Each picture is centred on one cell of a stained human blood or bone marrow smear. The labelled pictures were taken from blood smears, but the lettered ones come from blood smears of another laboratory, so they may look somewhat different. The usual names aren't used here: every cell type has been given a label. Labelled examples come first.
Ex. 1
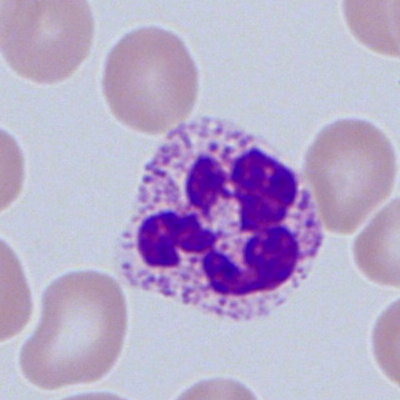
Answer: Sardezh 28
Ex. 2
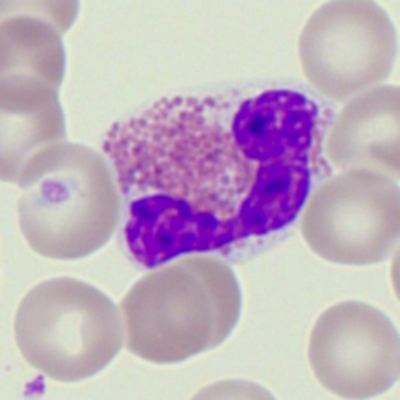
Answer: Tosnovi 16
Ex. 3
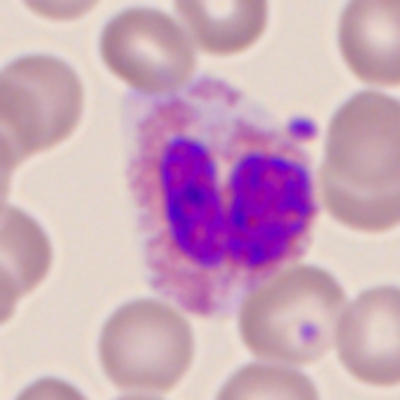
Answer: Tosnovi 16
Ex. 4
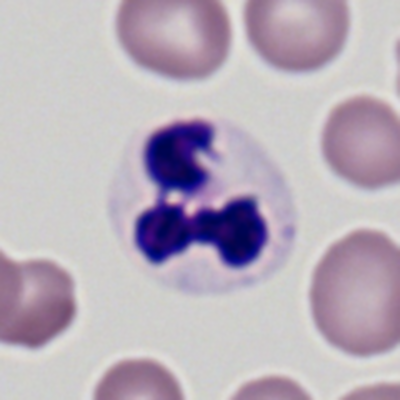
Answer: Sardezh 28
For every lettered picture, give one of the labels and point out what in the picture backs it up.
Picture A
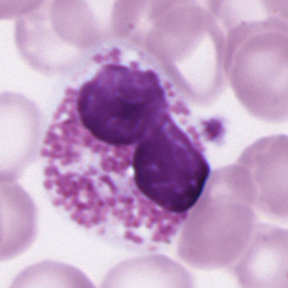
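Tosnovi 16. The granules are coarse and of fairly even size.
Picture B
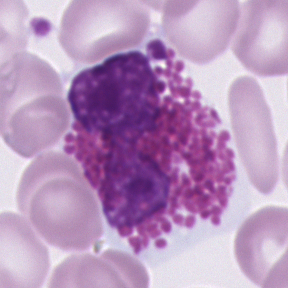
Tosnovi 16. The granules are coarse and of fairly even size.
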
